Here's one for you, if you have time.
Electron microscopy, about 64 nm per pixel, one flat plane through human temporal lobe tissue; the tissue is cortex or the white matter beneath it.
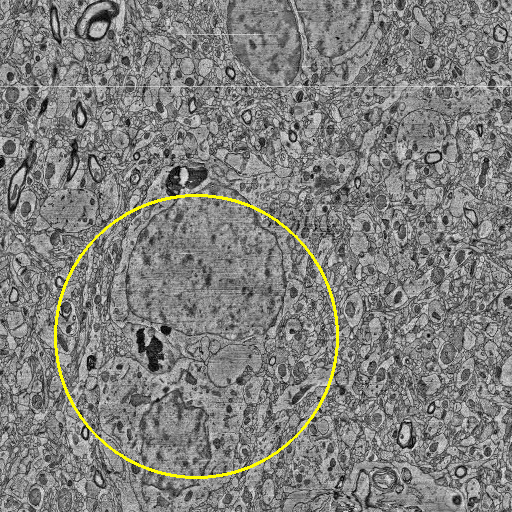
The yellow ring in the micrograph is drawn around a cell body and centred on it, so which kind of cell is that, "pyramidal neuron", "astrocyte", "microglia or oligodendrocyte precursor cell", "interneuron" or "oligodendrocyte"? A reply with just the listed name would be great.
interneuron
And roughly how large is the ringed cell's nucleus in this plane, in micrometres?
About 10 micrometres across in this plane, for the nucleus.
